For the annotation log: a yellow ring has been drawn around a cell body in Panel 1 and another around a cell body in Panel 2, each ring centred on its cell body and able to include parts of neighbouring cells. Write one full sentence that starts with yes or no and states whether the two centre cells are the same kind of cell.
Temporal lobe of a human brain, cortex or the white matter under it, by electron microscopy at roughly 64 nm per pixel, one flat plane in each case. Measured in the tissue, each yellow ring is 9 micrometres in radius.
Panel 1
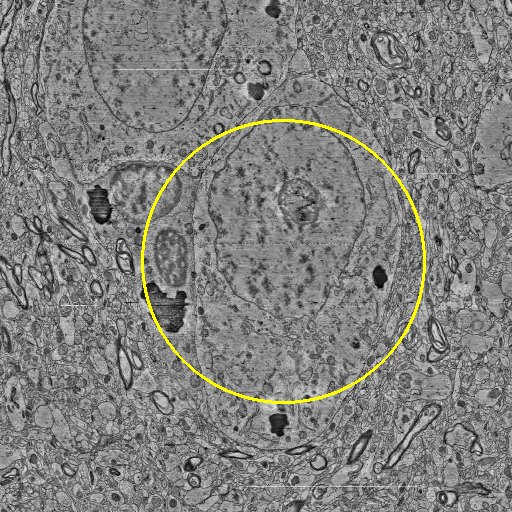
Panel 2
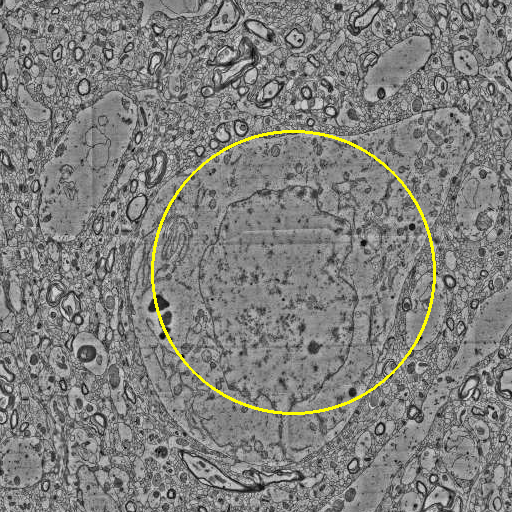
Yes, the two centre cells are the same kind of cell.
